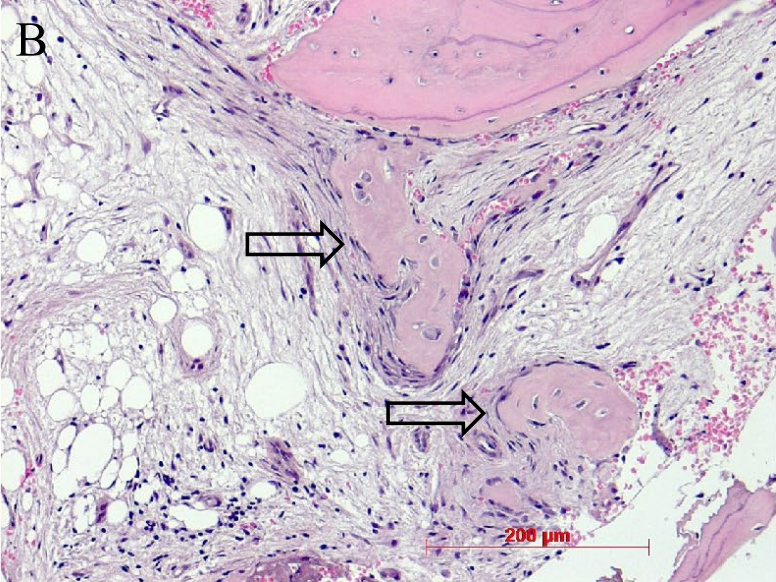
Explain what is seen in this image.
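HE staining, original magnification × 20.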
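Loose fibrous tissue full of spindle-shaped cells, with fat cells and small vessels, surrounds small pink islands of bone matrix. The islands contain a few cells in lacunae and are lined along their edges by plump cells with dark nuclei.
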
